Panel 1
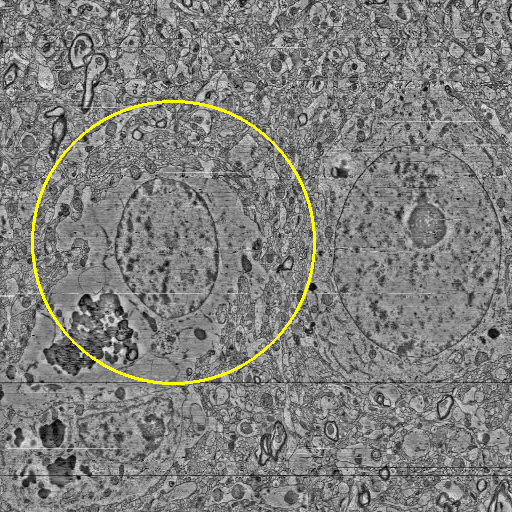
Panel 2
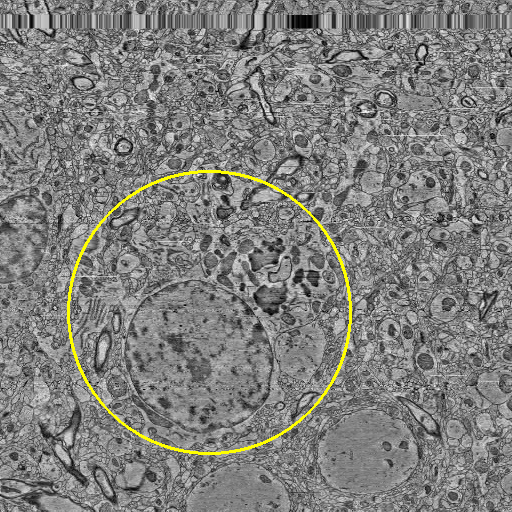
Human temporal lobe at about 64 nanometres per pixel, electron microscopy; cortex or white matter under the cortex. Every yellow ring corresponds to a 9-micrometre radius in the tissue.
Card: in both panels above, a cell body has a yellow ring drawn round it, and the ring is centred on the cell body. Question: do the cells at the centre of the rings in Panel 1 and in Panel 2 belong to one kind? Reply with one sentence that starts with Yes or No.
Yes, the cells centred in the rings of Panel 1 and Panel 2 are one kind of cell.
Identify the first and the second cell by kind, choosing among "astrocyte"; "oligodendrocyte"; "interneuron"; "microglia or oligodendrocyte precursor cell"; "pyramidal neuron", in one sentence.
Both rings mark an astrocyte, one in each picture.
